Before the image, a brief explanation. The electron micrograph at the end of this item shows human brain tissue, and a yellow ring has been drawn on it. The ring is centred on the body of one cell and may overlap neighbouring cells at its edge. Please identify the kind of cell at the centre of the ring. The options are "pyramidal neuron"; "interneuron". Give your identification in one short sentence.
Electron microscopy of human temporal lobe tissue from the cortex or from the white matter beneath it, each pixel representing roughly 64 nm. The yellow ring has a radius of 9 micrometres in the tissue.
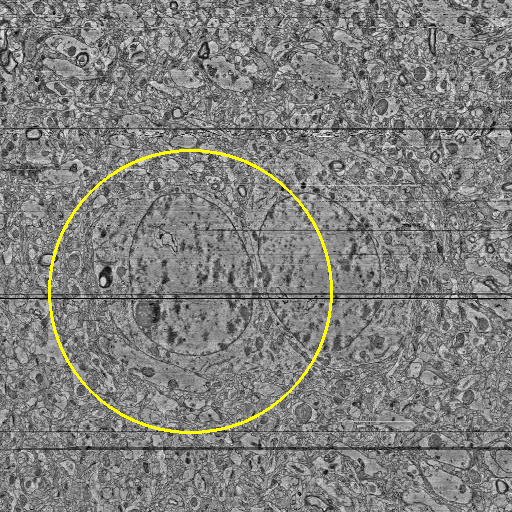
The ring has been placed around a pyramidal neuron.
